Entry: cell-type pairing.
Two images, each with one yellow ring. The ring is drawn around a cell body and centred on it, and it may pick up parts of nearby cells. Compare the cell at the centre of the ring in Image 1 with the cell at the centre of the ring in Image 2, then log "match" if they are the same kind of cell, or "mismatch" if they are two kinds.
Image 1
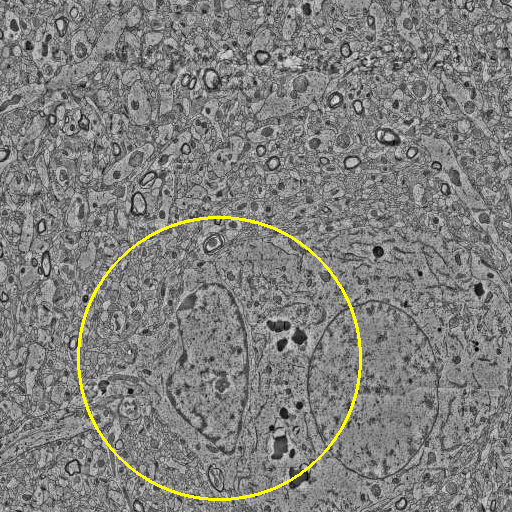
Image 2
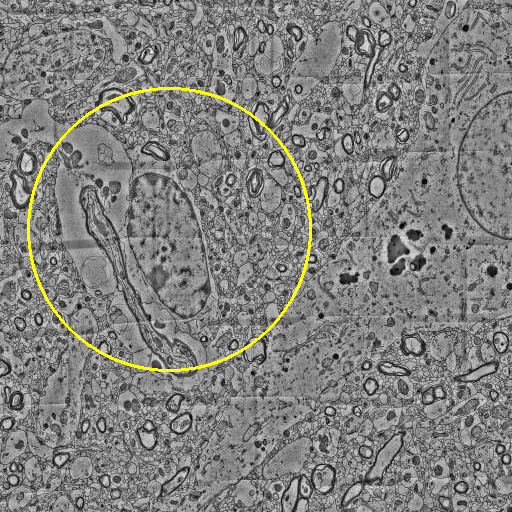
match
